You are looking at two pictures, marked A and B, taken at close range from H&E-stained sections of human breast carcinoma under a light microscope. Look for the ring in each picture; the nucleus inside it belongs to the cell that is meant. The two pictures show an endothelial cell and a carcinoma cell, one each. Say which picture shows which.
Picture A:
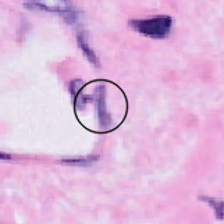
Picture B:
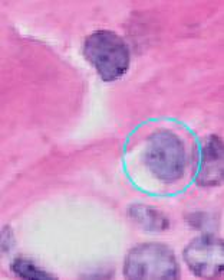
A: endothelial cell
B: carcinoma cell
